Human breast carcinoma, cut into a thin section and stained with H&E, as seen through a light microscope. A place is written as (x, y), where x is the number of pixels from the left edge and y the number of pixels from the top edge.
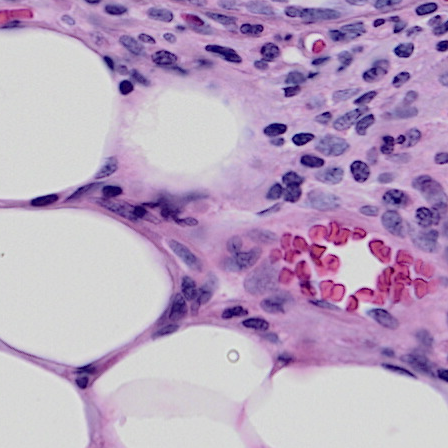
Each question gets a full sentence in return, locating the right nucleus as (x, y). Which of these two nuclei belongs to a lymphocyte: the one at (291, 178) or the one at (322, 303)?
The nucleus of a lymphocyte lies at (291, 178), not at the other position.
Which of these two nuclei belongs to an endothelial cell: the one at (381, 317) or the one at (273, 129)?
It is the nucleus at (381, 317) that belongs to an endothelial cell.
